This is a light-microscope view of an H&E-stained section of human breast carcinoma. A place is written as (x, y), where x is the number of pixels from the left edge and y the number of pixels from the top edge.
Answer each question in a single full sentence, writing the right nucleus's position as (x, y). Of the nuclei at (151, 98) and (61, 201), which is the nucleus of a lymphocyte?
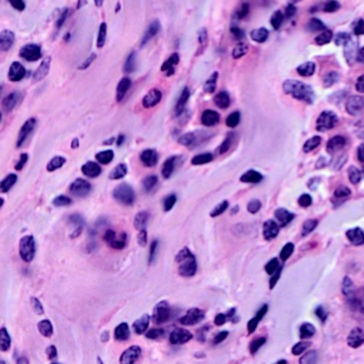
Of the two nuclei, the one at (61, 201) belongs to a lymphocyte.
